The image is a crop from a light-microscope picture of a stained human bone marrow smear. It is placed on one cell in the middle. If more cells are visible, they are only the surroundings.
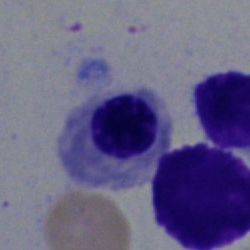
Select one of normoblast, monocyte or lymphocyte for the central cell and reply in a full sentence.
Here the cell in the middle is a normoblast.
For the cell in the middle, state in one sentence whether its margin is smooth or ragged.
The edge is uneven, and this unevenness takes the form of ragged stretches or projections.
